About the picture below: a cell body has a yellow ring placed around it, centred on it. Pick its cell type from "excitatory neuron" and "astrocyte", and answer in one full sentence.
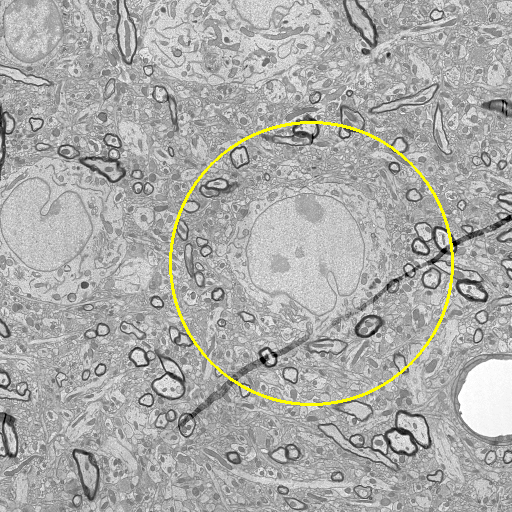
In the picture, an excitatory neuron is the cell sitting at the centre of the yellow ring.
